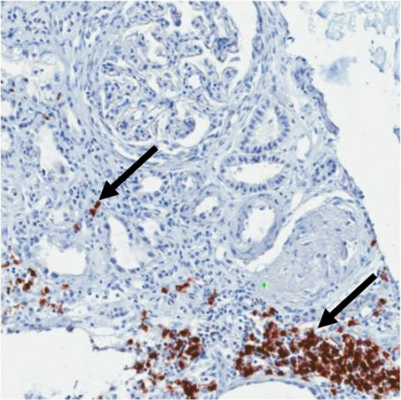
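A glomerulus with a lobulated, blue-nucleated tuft sits in the upper part of the field, surrounded by tubules lined by cuboidal epithelium with blue nuclei. Brown-stained small round cells are packed into a dense cluster at the lower edge and lower right, while only a few single brown cells are scattered among the tubules higher up. Most of the interstitium between the tubules holds cells with blue nuclei only, without brown staining.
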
